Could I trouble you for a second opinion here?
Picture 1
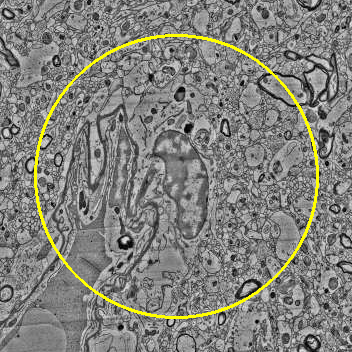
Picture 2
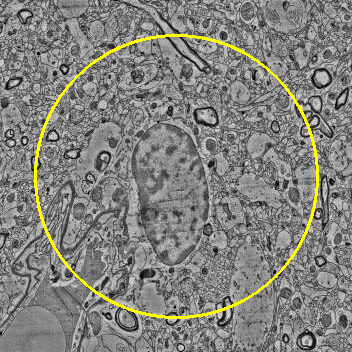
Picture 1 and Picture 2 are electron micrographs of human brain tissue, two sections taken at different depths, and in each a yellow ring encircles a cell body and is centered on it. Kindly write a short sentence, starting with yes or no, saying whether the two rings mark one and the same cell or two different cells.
Yes, one cell is ringed in yellow twice over.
